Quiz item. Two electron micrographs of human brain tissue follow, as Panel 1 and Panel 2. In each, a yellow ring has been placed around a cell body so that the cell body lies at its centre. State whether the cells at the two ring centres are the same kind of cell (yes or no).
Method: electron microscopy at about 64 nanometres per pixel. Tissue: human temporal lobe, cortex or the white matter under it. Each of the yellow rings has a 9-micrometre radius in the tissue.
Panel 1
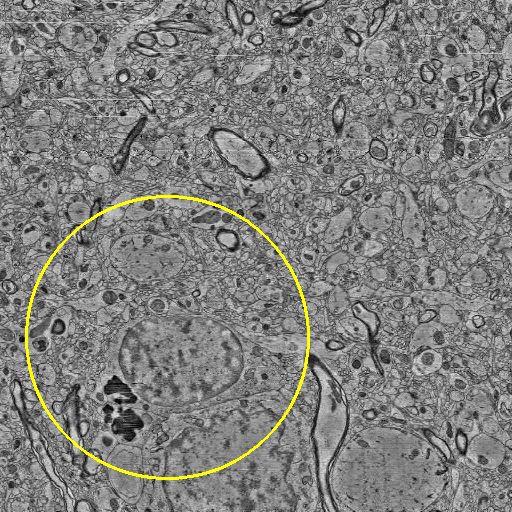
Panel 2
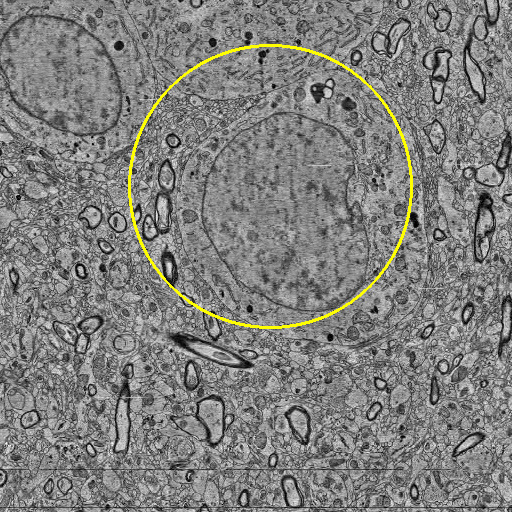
no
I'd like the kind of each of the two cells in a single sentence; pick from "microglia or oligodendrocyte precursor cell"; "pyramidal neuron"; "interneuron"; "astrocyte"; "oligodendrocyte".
The first ring marks an oligodendrocyte, and the second ring marks a pyramidal neuron.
